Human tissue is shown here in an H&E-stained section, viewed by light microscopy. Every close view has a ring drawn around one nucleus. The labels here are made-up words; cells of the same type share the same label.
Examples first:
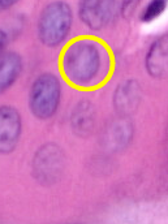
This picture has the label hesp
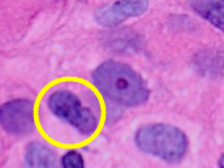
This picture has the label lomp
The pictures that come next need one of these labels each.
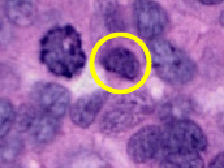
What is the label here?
lomp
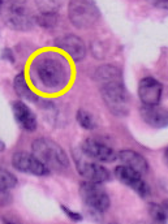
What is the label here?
lomp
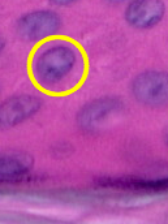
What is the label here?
hesp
